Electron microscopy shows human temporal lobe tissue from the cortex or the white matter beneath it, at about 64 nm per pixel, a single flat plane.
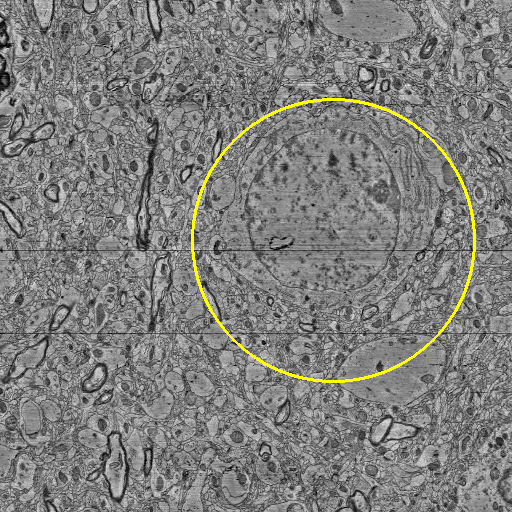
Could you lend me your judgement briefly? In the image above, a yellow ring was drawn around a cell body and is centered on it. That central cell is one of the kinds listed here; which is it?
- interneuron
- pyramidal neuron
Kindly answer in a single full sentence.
Going by the list, an interneuron is the kind at the ring's center in the picture.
